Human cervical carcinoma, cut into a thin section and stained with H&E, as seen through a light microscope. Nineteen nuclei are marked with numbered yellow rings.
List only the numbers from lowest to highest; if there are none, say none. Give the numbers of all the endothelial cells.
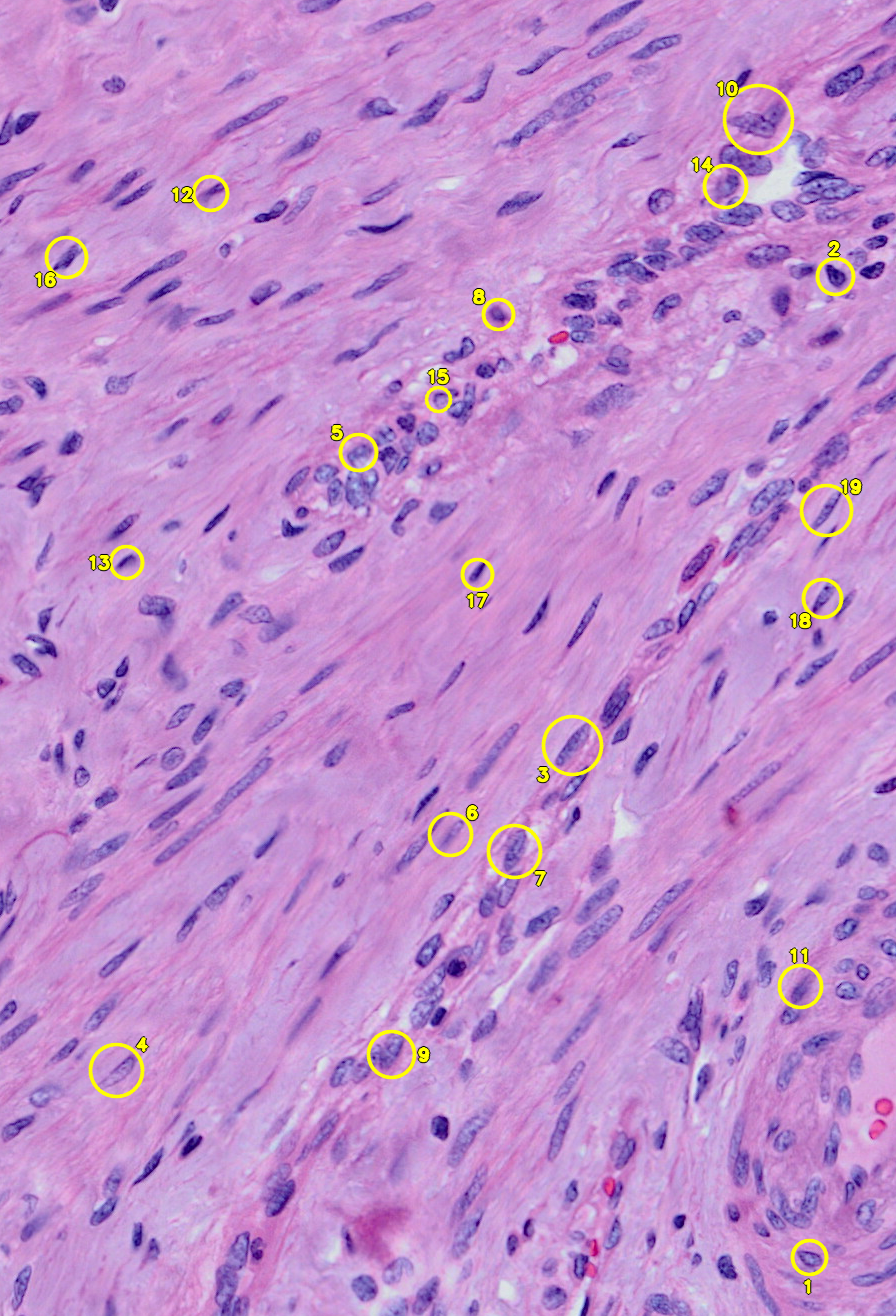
5, 7, 9, 10, 14, 15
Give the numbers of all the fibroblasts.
6, 13, 16, 17, 18, 19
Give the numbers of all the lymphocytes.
2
